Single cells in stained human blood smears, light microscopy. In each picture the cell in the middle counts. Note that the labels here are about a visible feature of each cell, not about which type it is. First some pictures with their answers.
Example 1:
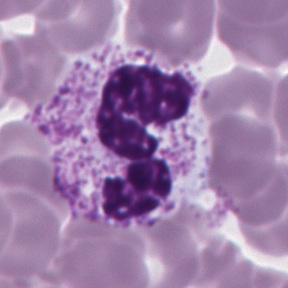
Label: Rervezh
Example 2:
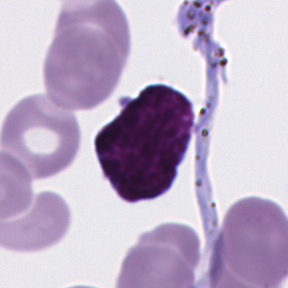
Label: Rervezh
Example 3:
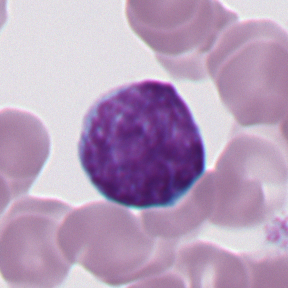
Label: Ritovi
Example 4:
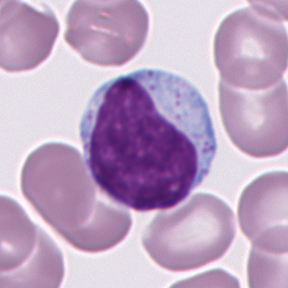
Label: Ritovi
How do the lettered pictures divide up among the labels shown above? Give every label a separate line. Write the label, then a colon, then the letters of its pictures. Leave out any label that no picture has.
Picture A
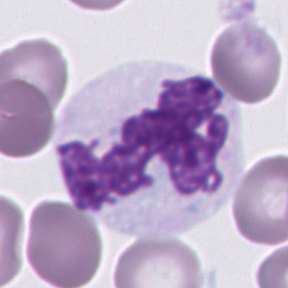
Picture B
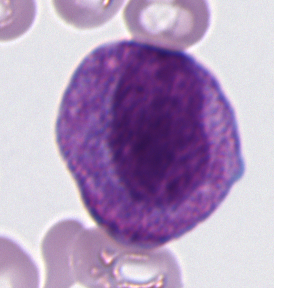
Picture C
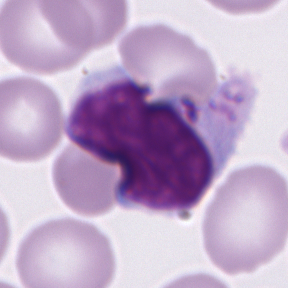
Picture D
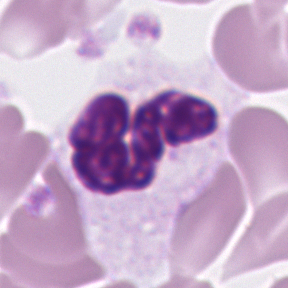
Rervezh: C, D
Ritovi: A, B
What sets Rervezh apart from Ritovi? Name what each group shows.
In Rervezh: ragged outline or projections. In Ritovi: smooth outline.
